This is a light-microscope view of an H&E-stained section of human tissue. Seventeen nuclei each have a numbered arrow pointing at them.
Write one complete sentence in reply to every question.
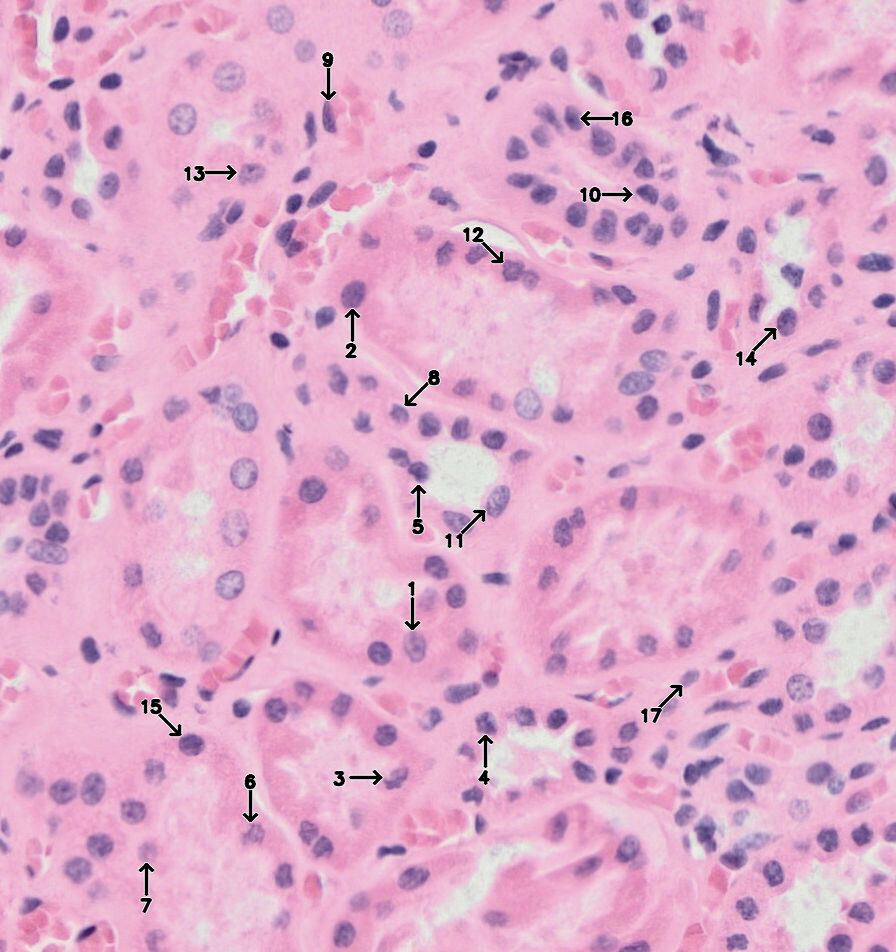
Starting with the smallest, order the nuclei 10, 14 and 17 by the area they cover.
Smallest first, the nuclei run 17, 10, 14.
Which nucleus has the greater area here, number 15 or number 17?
The larger nucleus is 15, at roughly 2 times the area of 17.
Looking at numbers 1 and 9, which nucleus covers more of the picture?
The larger nucleus is 1, at roughly 1.5 times the area of 9.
